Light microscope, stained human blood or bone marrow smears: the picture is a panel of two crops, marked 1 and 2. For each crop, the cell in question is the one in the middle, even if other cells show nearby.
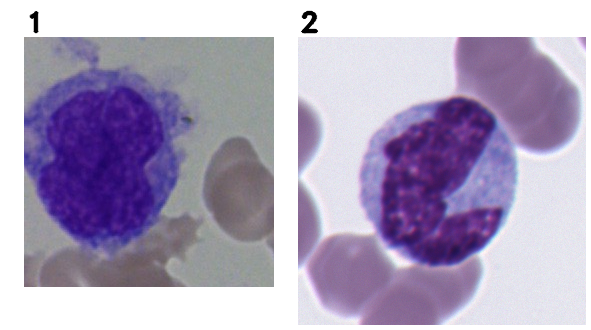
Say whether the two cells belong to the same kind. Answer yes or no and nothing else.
yes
